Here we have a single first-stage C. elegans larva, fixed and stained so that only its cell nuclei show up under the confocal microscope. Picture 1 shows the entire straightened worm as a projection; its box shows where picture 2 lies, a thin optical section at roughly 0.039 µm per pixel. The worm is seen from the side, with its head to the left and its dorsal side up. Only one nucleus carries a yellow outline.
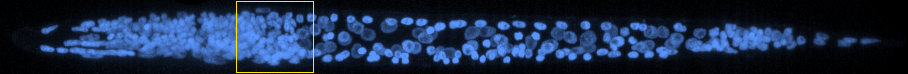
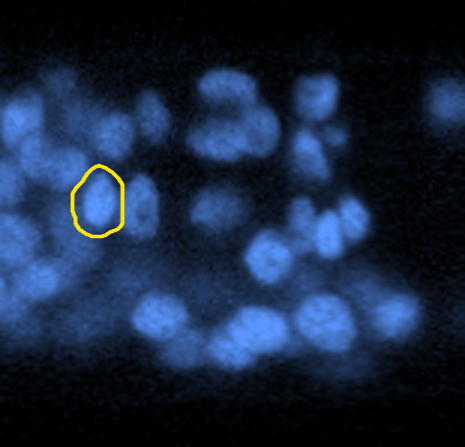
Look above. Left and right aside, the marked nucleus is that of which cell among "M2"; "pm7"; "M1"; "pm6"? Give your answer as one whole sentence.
The cell whose nucleus is marked is M2, a neuron.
